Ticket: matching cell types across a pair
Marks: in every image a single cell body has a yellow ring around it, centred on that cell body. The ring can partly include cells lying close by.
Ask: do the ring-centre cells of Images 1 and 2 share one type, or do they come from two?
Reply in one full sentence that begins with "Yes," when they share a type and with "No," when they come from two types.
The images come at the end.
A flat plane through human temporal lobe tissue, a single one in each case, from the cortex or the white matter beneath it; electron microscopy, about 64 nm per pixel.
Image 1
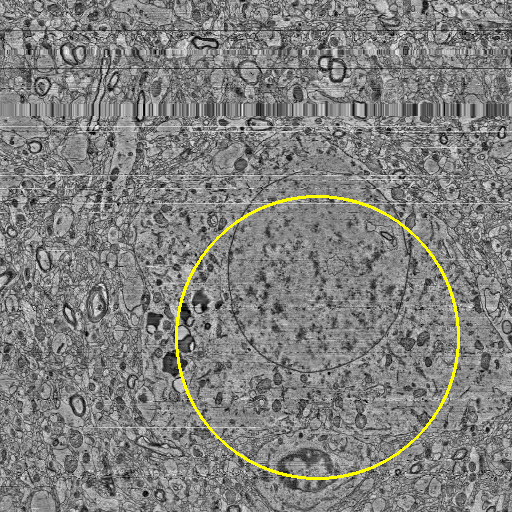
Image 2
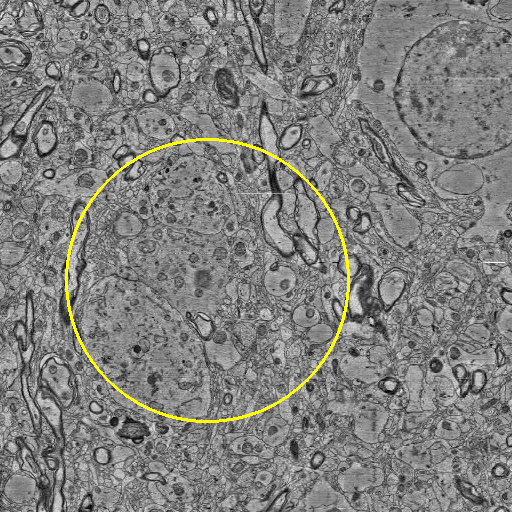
No, the cells in the centres of the rings in Image 1 and Image 2 come from two types.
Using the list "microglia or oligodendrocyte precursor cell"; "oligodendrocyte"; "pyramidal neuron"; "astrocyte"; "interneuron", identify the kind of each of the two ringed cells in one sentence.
The first is a pyramidal neuron and the second is an oligodendrocyte.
